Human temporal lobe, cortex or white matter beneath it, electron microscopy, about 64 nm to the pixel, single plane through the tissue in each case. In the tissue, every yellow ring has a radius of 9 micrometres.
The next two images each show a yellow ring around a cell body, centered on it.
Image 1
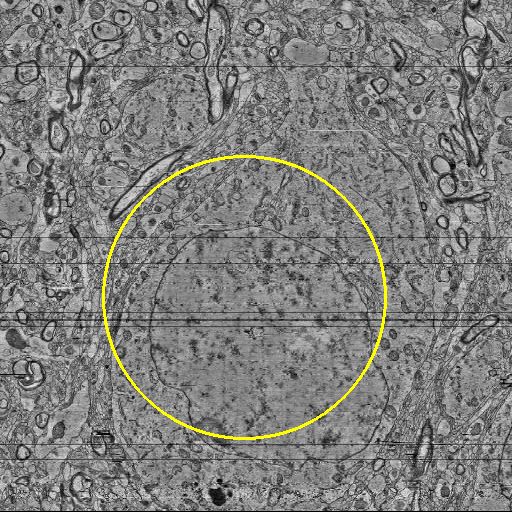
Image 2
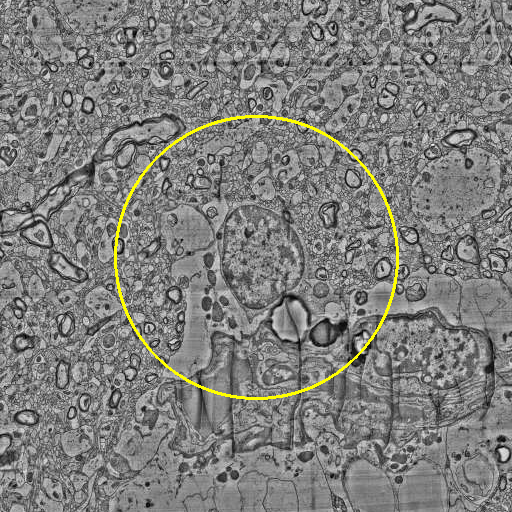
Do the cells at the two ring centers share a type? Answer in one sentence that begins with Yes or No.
No, across the two images the cells at the ring centers are of two types.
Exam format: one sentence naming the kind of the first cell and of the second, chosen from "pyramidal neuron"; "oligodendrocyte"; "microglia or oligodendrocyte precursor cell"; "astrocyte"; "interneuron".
The first picture's cell is a pyramidal neuron, and the second picture's cell is an oligodendrocyte.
